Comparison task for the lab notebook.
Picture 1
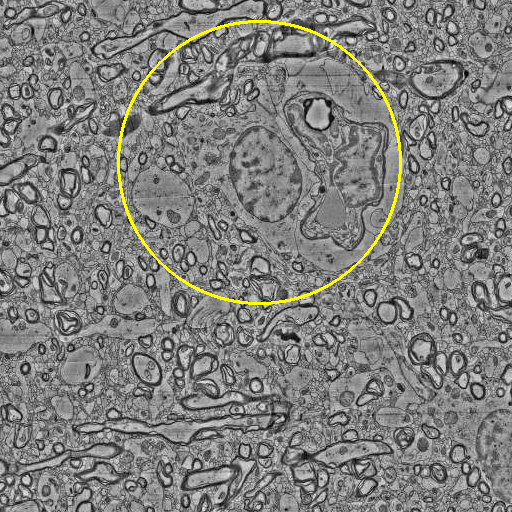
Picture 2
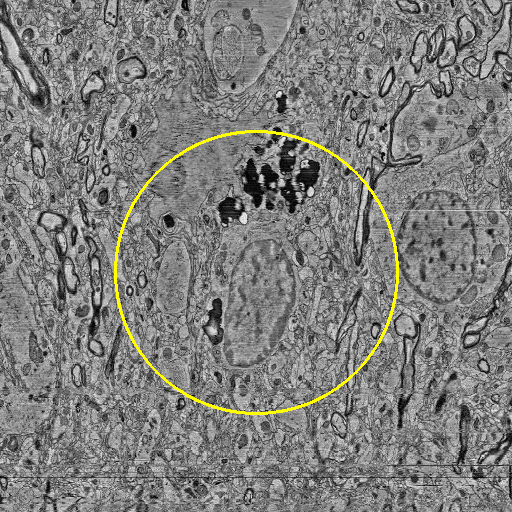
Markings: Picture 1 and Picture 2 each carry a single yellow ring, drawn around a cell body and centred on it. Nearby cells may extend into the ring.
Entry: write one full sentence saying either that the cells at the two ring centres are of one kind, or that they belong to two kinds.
The cells sitting at the ring centres in Picture 1 and Picture 2 belong to two kinds.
